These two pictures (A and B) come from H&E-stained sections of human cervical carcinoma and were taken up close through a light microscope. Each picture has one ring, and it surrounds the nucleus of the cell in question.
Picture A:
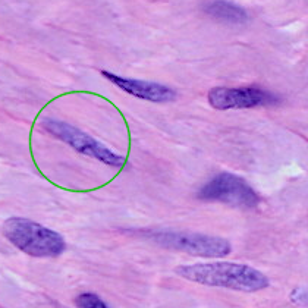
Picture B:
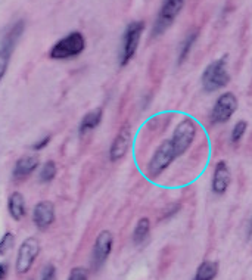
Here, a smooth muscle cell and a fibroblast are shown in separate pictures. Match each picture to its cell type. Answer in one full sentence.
Picture A shows a fibroblast and picture B shows a smooth muscle cell.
